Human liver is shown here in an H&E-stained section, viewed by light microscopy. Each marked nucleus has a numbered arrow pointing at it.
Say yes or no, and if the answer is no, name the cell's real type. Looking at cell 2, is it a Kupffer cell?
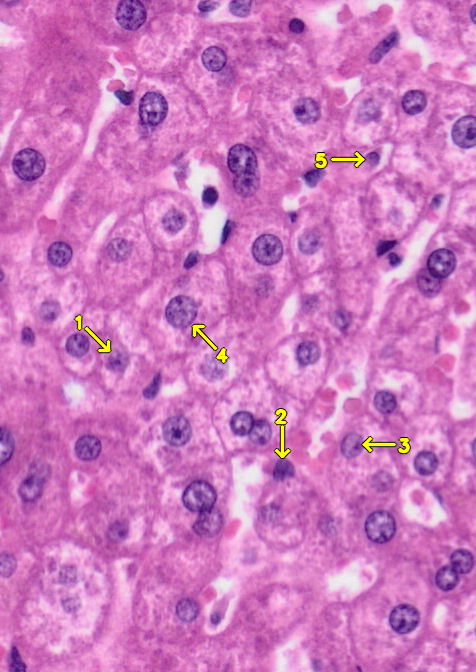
No, it is a fibroblast or stellate cell.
